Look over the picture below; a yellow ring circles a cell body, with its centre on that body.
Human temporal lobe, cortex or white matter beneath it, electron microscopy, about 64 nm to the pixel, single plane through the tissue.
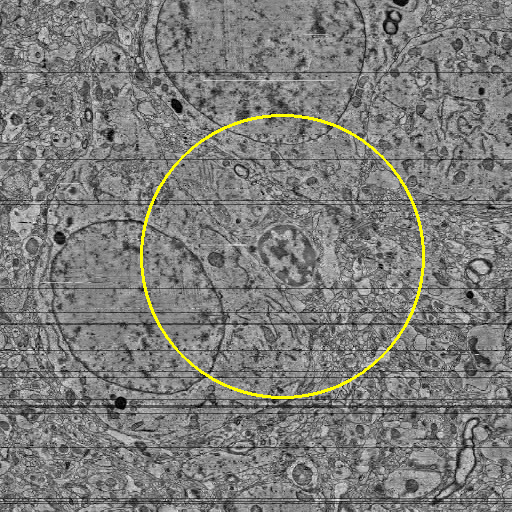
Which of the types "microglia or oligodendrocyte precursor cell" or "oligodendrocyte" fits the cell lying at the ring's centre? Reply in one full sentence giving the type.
The picture shows a microglial cell or oligodendrocyte precursor cell at the centre of the yellow ring.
